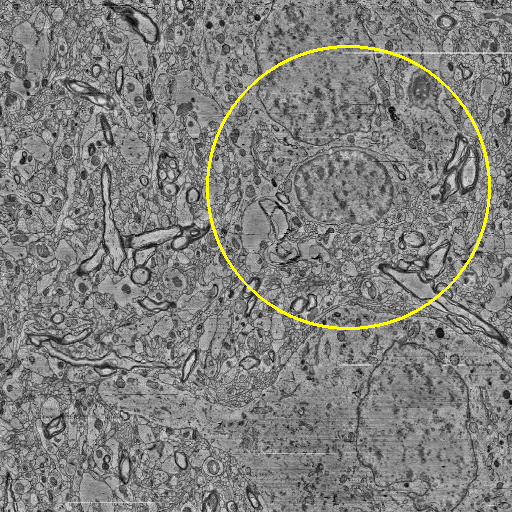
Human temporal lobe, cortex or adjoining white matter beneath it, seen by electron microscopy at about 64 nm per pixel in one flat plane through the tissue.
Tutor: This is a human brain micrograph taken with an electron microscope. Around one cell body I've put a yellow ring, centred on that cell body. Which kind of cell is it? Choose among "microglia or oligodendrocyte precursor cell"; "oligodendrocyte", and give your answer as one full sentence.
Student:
Going by your list, the cell centred in the yellow ring is an oligodendrocyte.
